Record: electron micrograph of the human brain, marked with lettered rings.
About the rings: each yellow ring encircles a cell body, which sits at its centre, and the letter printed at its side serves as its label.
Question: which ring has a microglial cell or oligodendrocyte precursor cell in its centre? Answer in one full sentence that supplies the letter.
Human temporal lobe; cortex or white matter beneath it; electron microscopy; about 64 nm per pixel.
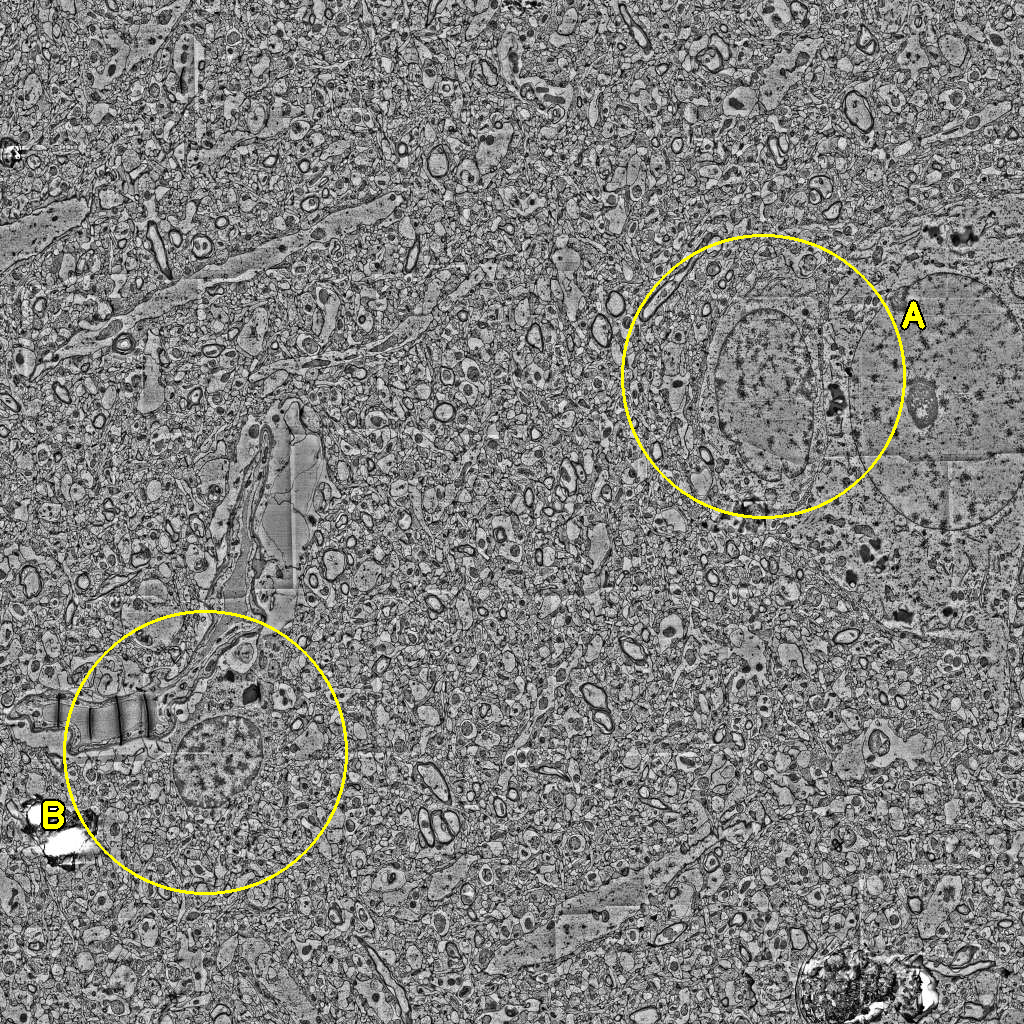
Within the picture, a cell of that kind is centred inside the ring marked A.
